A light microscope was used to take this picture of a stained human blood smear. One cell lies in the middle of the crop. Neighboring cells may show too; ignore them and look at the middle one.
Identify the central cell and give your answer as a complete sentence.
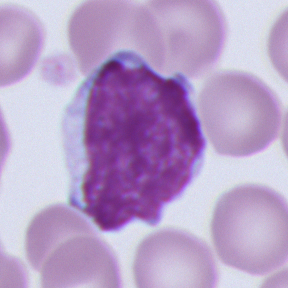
The central element of this crop is a cell, namely a typical lymphocyte.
